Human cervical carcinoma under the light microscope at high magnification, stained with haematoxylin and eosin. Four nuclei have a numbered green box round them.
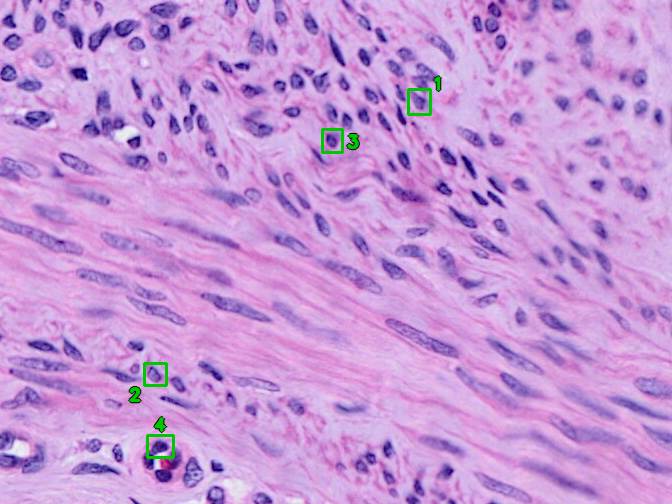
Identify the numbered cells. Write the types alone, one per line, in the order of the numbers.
smooth muscle cell
smooth muscle cell
smooth muscle cell
endothelial cell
